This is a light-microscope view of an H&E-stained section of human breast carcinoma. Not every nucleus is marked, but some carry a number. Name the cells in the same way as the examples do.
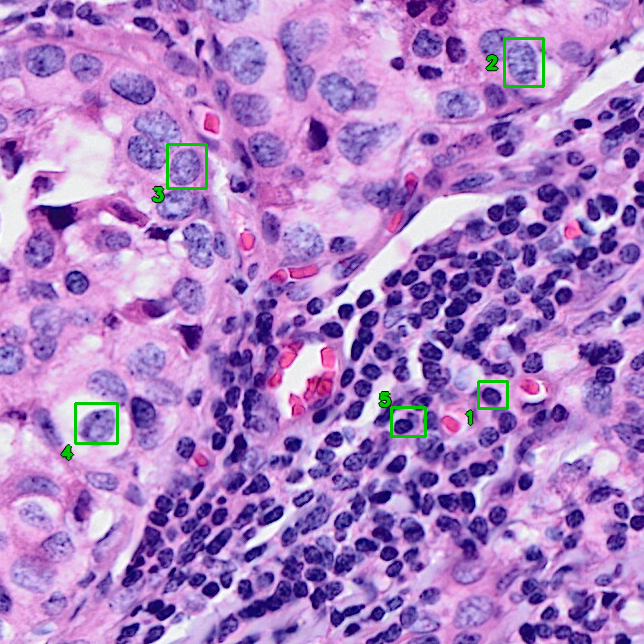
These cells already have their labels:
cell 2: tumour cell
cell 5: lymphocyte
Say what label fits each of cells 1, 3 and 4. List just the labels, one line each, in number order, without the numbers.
lymphocyte
tumour cell
tumour cell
